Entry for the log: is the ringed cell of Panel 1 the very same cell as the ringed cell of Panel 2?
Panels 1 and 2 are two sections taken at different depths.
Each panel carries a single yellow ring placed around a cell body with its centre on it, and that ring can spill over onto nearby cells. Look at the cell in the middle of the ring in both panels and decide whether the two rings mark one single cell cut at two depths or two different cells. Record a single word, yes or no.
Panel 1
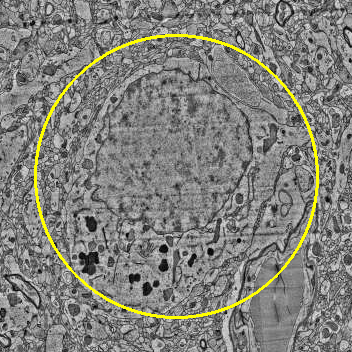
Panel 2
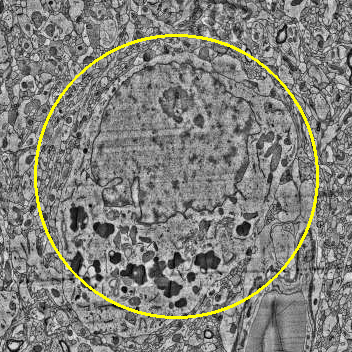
yes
